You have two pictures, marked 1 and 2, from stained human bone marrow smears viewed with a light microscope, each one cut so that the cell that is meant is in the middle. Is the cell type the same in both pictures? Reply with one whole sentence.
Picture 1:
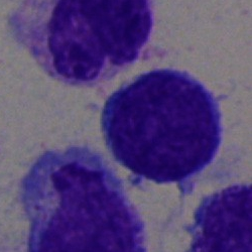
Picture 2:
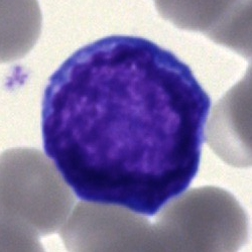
Yes, both are blasts.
